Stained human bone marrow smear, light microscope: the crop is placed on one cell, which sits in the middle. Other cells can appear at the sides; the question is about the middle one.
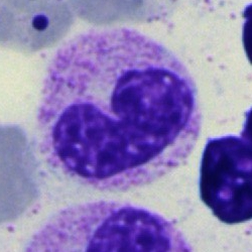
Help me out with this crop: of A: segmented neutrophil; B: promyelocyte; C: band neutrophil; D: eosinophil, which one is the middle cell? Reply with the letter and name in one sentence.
In this crop the middle cell is a band neutrophil, so option C is the correct answer.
